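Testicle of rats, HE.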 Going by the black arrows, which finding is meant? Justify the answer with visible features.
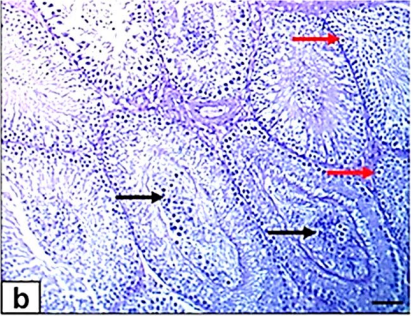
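Clusters of cells lie detached within the tubule lumens. The epithelial lining is disrupted.
Sloughing of the germinal epithelium into the lumen of seminiferous tubules.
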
